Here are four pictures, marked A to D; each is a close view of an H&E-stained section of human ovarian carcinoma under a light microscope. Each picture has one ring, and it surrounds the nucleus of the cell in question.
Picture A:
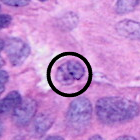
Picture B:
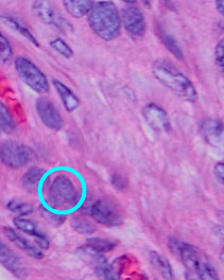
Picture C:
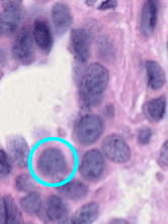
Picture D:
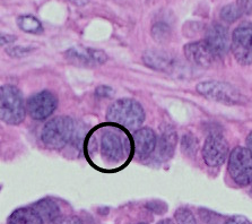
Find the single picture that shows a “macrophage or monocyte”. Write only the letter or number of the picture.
A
